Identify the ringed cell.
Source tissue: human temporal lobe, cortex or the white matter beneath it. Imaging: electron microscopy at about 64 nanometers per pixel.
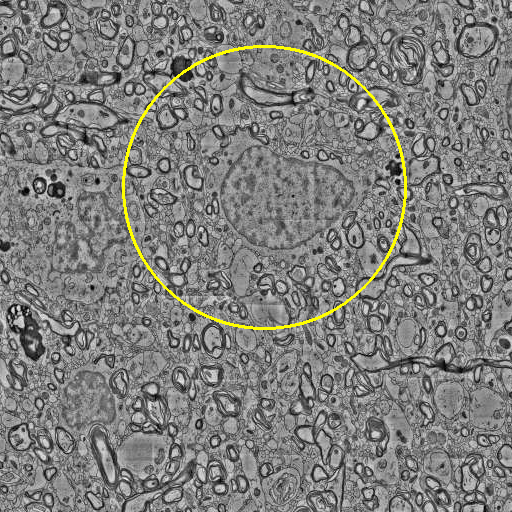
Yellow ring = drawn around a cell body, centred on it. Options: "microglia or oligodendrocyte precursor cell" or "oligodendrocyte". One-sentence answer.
What the ring is centred on is an oligodendrocyte.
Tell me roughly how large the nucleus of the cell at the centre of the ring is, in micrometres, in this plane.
Roughly 8 by 7 micrometres is the size of the nucleus in this plane.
